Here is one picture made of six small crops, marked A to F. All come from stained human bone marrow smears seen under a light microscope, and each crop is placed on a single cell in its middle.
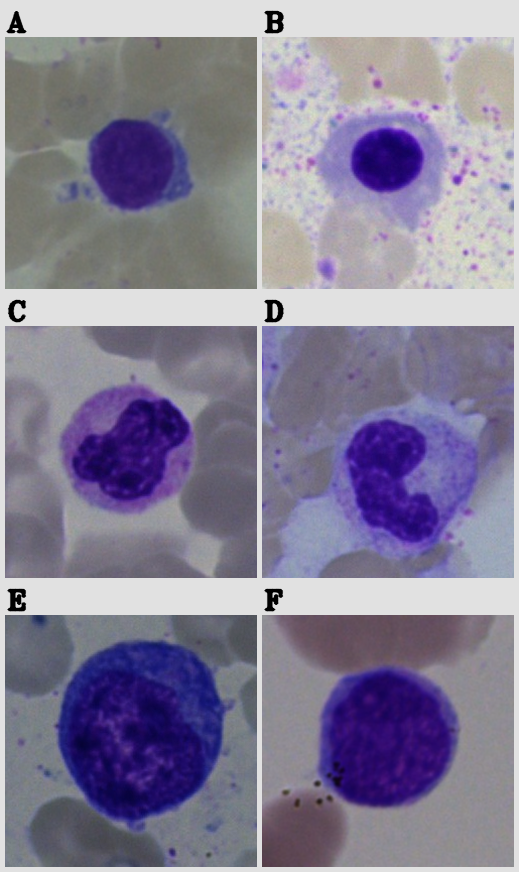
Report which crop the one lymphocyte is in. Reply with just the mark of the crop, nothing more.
A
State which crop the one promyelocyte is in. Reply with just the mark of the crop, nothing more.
E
